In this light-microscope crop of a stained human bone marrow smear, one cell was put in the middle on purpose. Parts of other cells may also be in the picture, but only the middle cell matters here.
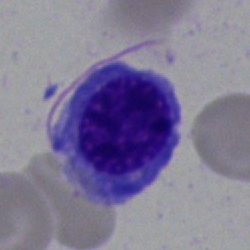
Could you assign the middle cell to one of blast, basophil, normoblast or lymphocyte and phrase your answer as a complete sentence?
The middle of this crop holds a normoblast.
